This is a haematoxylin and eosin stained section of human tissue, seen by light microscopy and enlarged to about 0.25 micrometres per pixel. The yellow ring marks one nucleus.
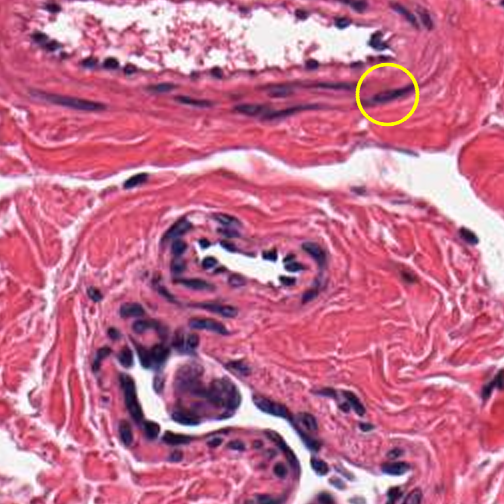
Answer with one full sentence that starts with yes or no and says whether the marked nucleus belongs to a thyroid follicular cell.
No, the marked nucleus does not come from a thyroid follicular cell.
